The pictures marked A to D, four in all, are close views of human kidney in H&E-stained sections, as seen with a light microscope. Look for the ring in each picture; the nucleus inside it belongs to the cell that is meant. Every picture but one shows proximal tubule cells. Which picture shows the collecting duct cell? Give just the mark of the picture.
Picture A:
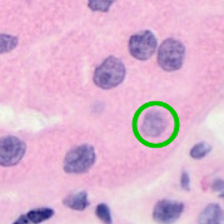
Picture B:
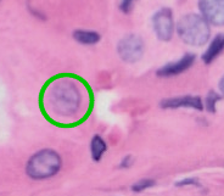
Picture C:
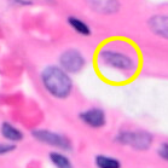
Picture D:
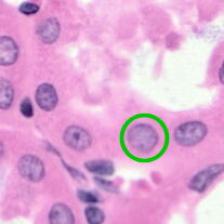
C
